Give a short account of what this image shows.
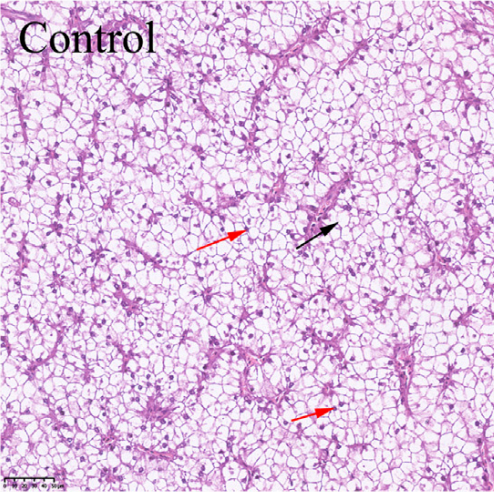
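Liver parenchyma of polygonal hepatocytes with sharp pink cell borders, forming a honeycomb-like sheet. Cytoplasm of most cells is pale and clear, appearing vacuolated. Small dark purple nuclei lie in many cells, often displaced toward the cell margin. Thin branching cords of more densely stained purple cells and small vessels run through the field.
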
